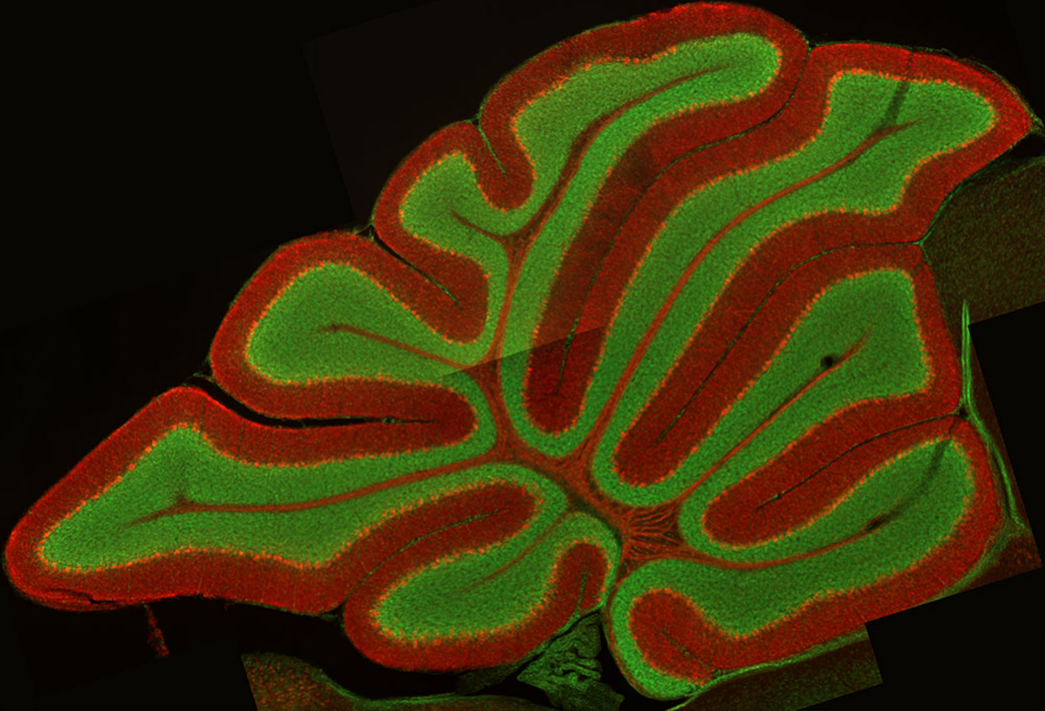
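This section of cerebellar cortex is folded into many folia that branch from a central core. Each folium has an outer red molecular layer. A single row of bright red-orange Purkinje cell bodies lines the border between this layer and an inner green granular layer of densely packed small granule cells. Thin red strands run along the cores of the folia and converge toward the centre.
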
